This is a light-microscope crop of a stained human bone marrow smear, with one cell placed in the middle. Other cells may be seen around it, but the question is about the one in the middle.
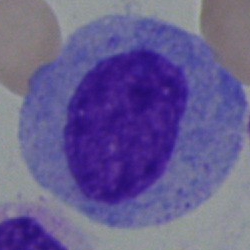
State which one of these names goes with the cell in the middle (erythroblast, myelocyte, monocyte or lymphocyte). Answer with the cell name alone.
myelocyte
